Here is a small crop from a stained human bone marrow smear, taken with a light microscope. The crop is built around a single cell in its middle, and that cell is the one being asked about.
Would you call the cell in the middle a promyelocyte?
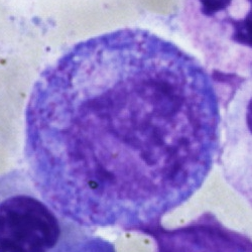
yes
